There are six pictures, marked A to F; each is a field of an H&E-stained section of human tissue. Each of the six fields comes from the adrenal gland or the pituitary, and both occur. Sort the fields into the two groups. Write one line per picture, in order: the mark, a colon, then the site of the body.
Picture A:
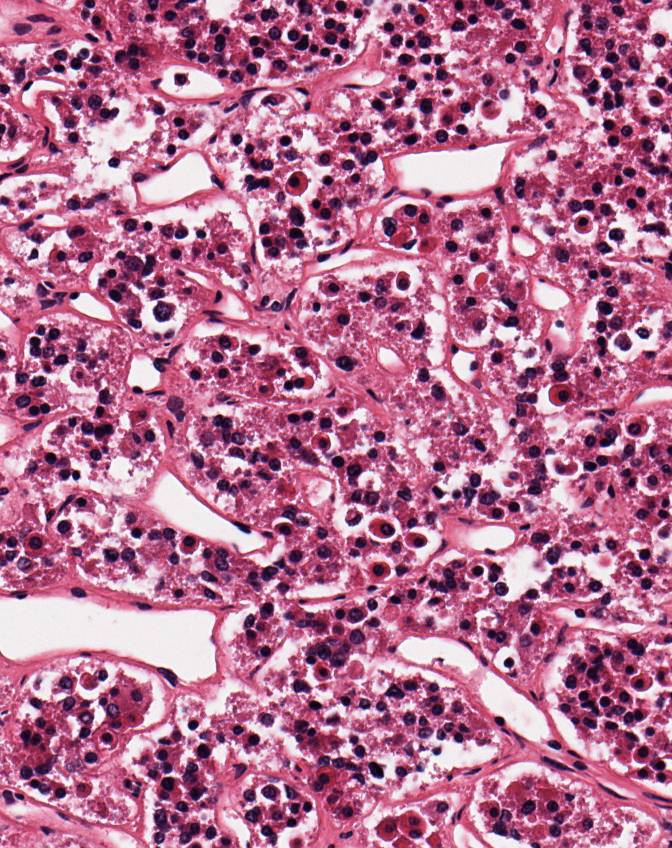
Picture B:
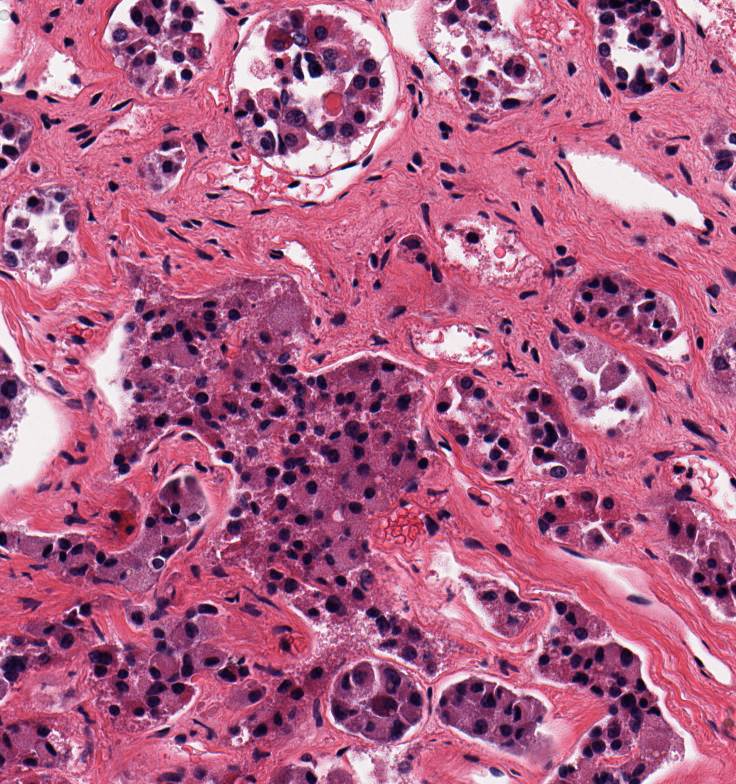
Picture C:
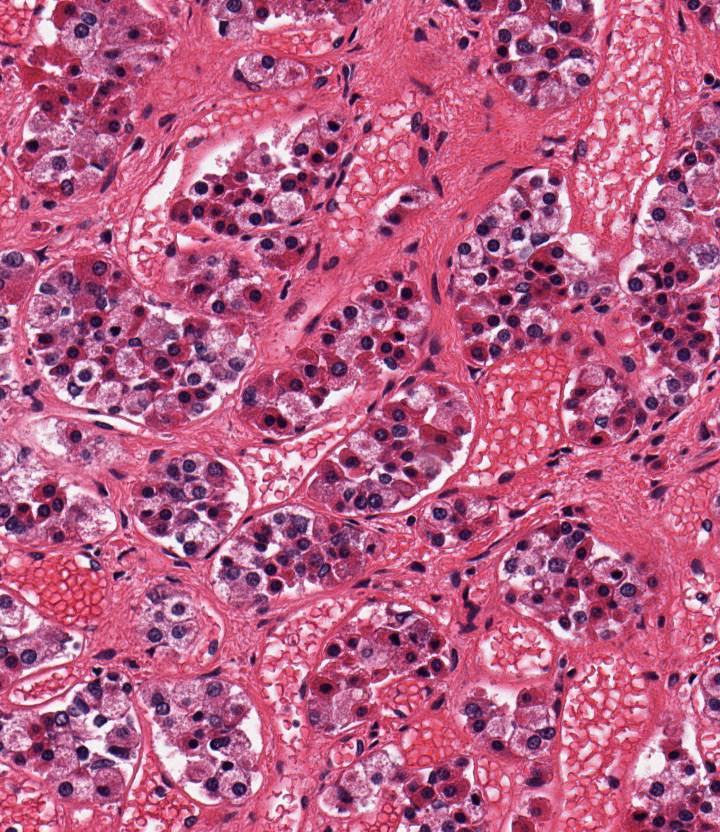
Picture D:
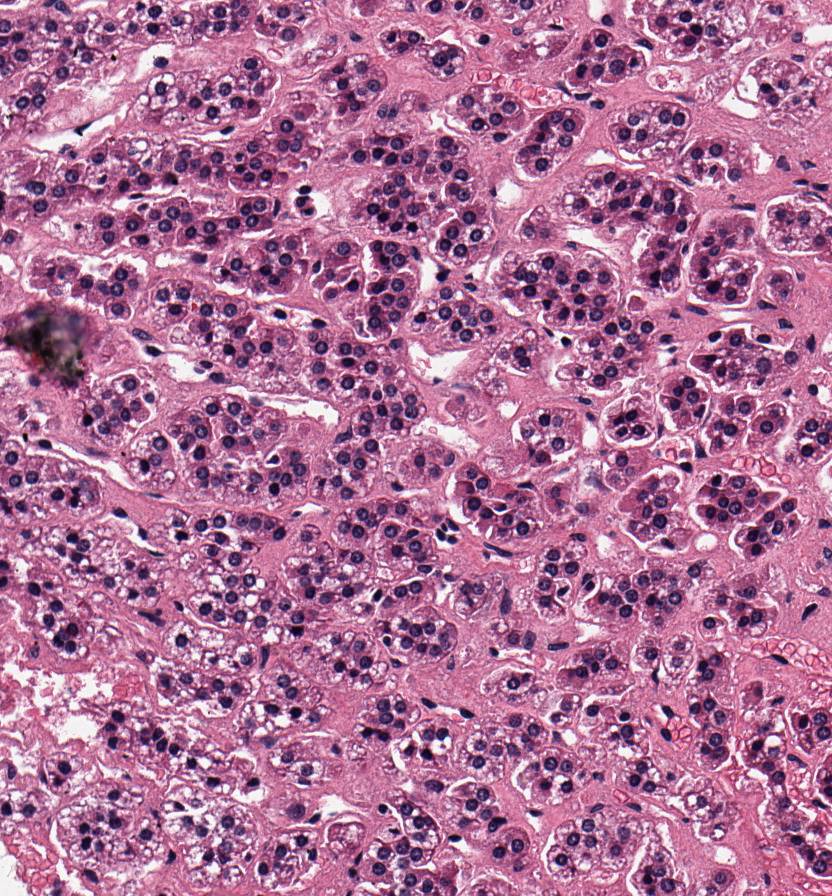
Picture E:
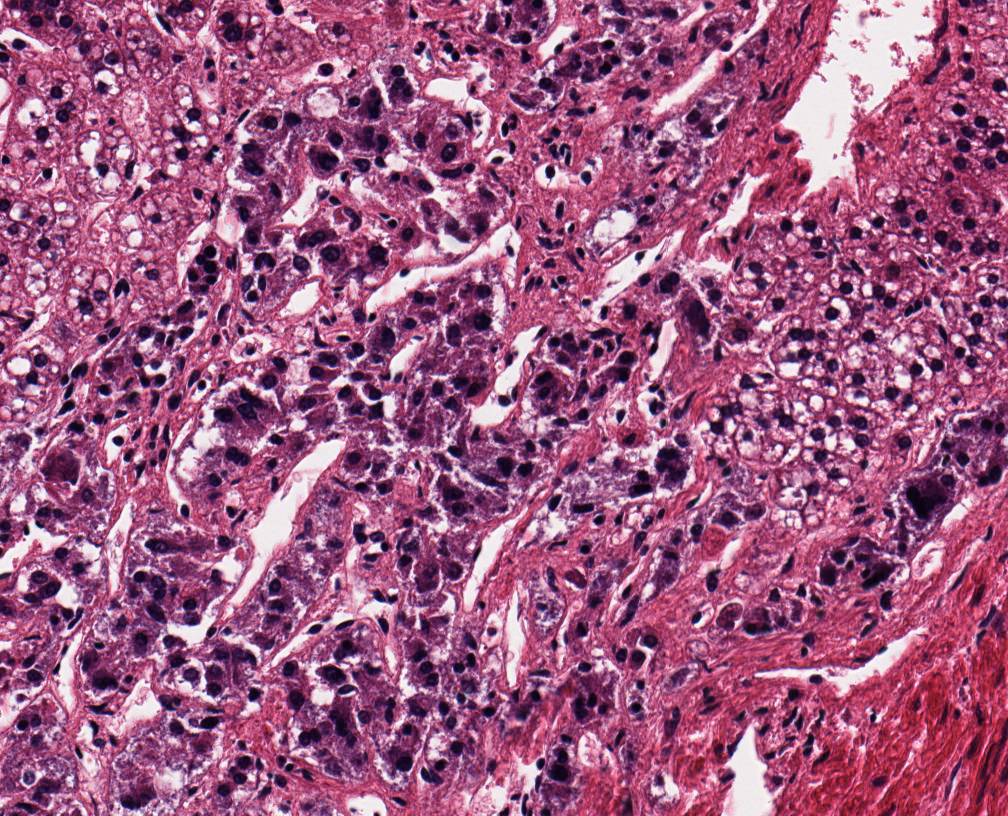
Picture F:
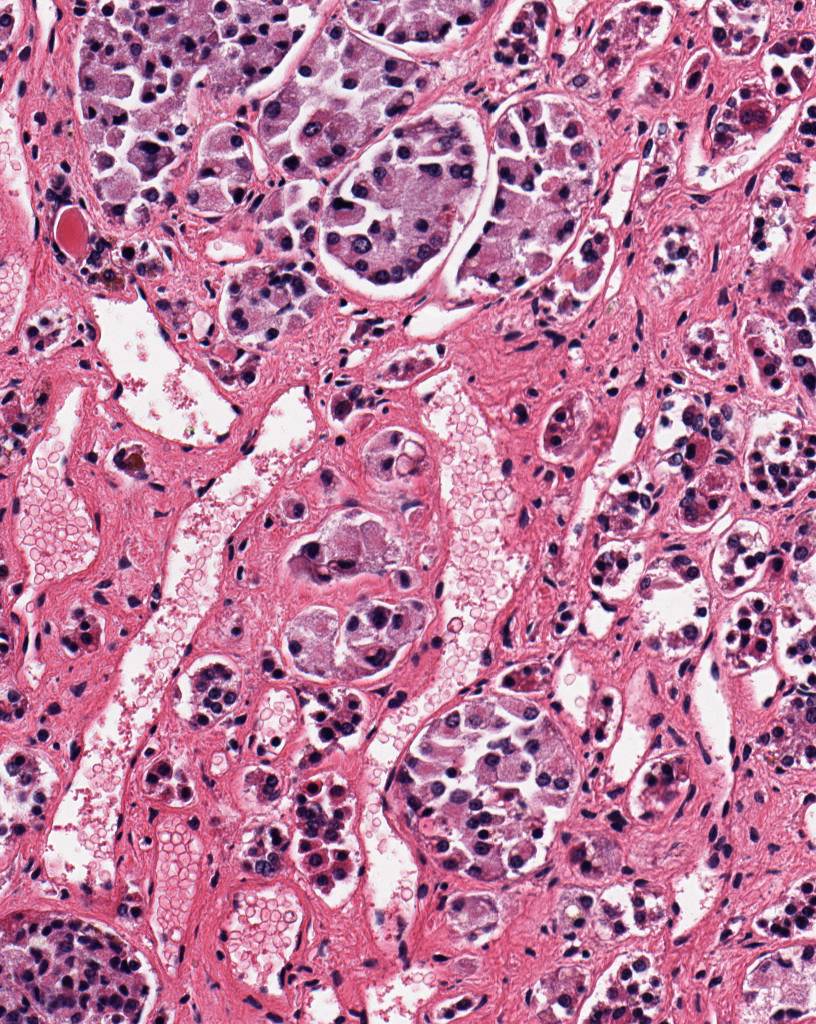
A: pituitary
B: pituitary
C: pituitary
D: adrenal gland
E: adrenal gland
F: pituitary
